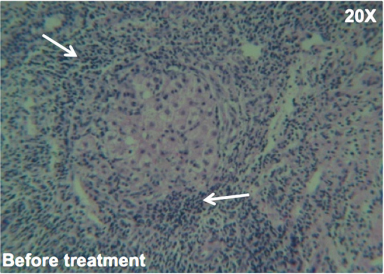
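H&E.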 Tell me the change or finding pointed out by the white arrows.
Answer: inflammatory cell infiltrate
